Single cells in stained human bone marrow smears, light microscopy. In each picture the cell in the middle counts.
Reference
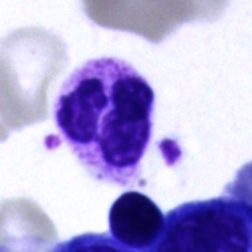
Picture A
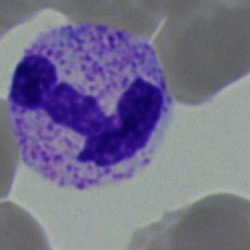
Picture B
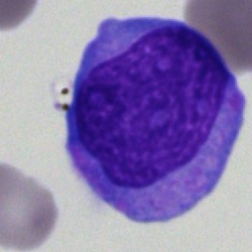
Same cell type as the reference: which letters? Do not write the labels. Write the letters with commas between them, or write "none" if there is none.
A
